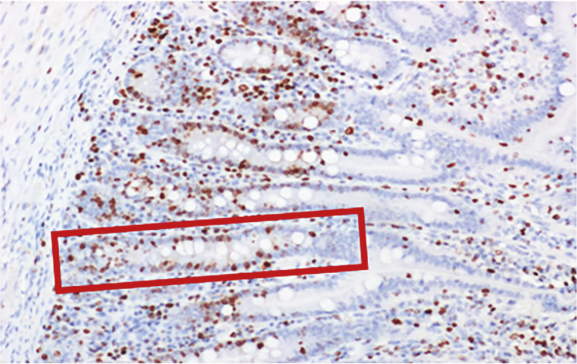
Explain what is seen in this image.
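This is intestinal mucosa with crypts running side by side towards a paler band of tissue at the left edge. The crypts are lined by columnar epithelial cells with clear round vacuoles interspersed among them. Numerous dark brown round nuclei crowd the crypt epithelium and the tissue between the crypts in the lower and left part of the field. Toward the upper right the crypts show fewer brown nuclei and mostly blue nuclei. A red box outlines one crypt densely studded with brown nuclei.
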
